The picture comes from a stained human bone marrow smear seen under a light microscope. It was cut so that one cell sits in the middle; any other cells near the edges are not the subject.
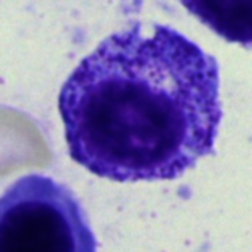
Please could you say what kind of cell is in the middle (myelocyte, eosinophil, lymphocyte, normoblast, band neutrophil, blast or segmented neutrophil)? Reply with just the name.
myelocyte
